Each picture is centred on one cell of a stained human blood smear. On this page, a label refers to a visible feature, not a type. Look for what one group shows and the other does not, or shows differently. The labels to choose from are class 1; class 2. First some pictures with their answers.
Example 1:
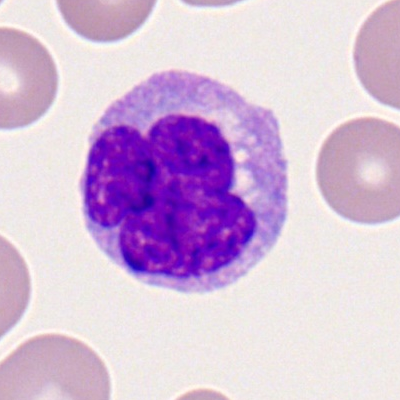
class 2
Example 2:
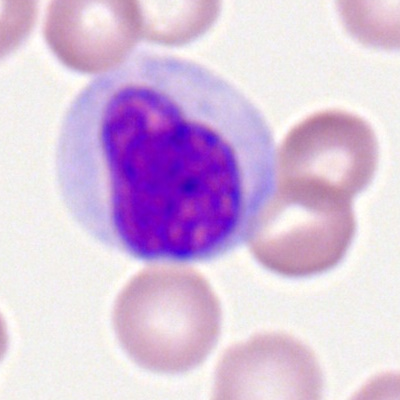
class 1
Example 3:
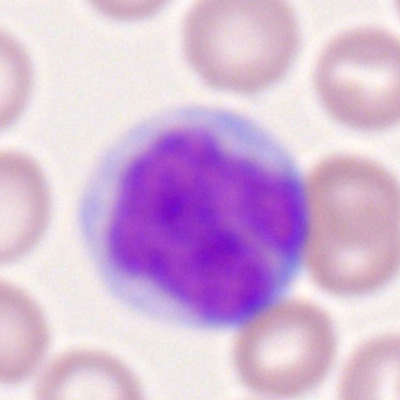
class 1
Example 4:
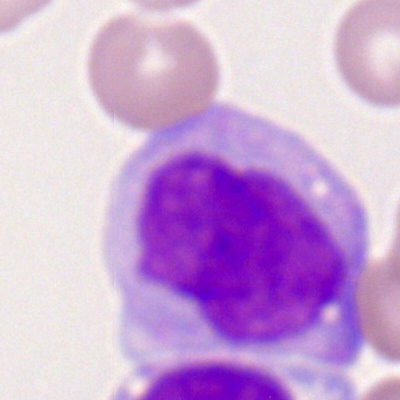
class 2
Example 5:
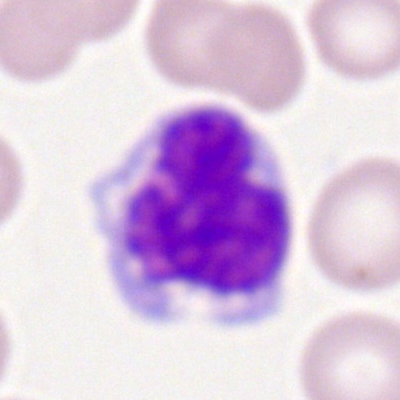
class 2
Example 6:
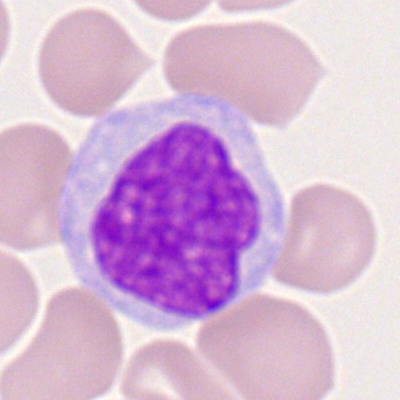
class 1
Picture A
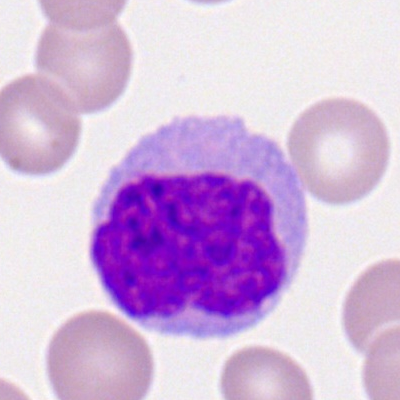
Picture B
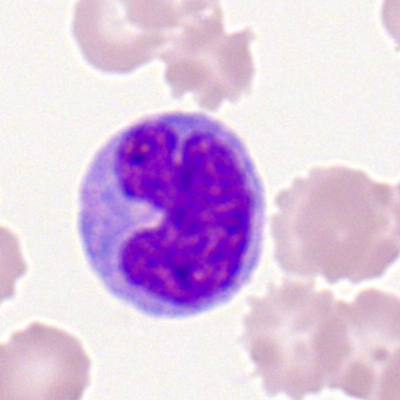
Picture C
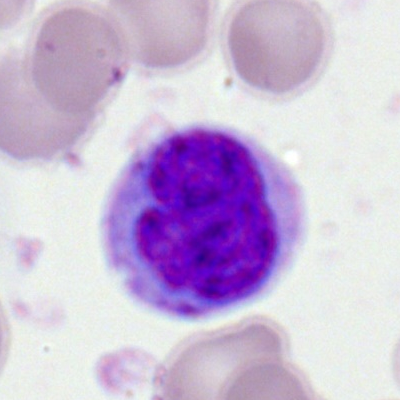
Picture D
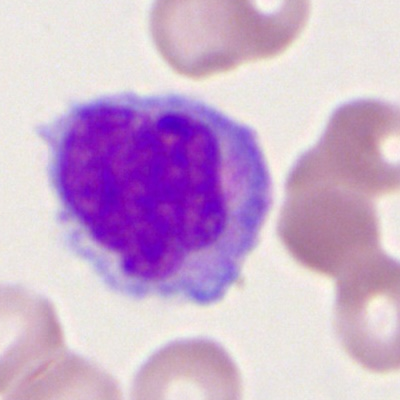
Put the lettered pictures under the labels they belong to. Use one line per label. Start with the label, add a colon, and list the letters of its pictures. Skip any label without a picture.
class 1: A, B, C, D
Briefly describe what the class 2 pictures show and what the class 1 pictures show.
In class 2: vacuoles present. In class 1: no vacuoles.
